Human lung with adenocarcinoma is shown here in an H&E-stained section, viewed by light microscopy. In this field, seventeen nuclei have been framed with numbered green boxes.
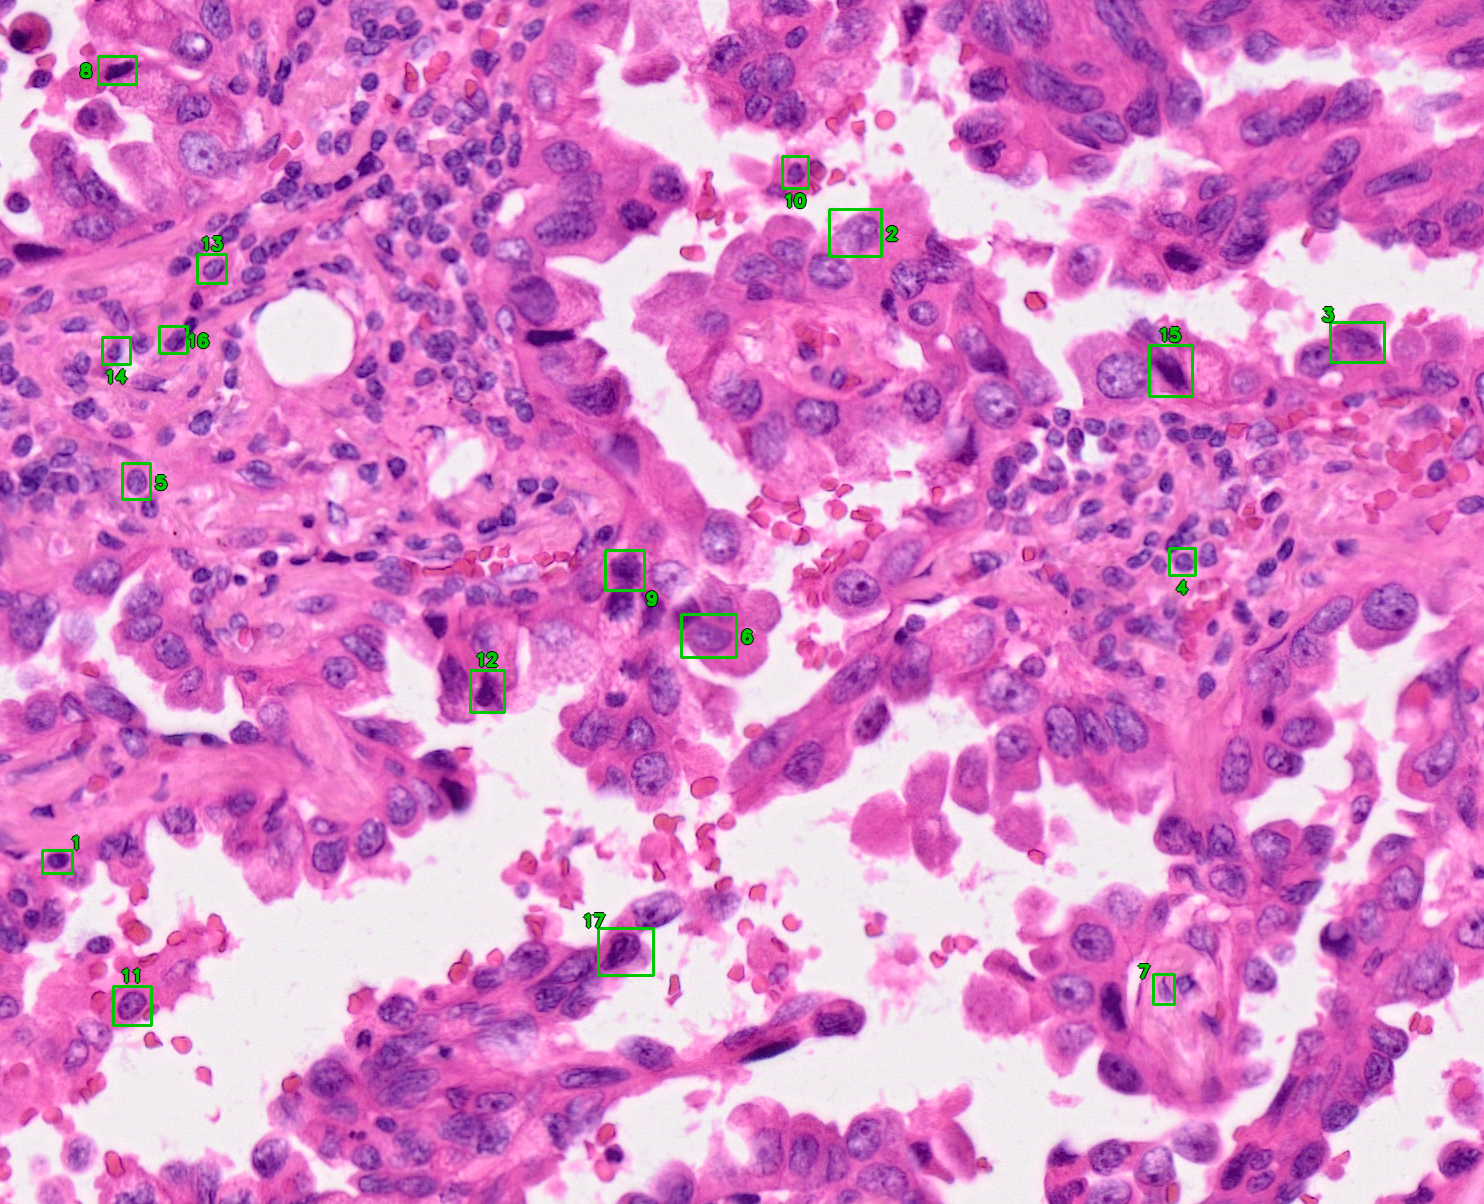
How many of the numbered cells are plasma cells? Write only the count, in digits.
1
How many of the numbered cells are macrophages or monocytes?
1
